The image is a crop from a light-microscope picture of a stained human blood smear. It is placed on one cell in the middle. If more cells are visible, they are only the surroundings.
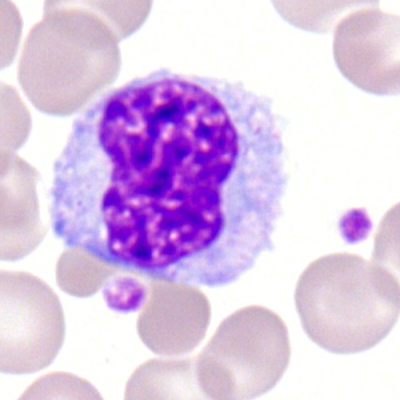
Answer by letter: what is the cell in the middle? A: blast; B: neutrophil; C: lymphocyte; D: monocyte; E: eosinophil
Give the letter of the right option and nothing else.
D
